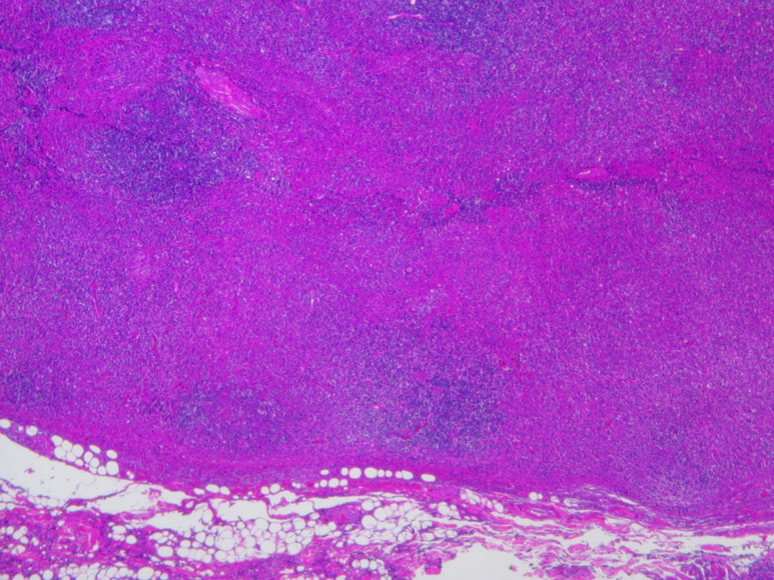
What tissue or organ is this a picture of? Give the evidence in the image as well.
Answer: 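Lymph node. Densely cellular tissue packed with small dark-blue nuclei. A thin pink band borders the dense tissue towards the bottom. Fat cells with empty round spaces lie outside that band.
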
